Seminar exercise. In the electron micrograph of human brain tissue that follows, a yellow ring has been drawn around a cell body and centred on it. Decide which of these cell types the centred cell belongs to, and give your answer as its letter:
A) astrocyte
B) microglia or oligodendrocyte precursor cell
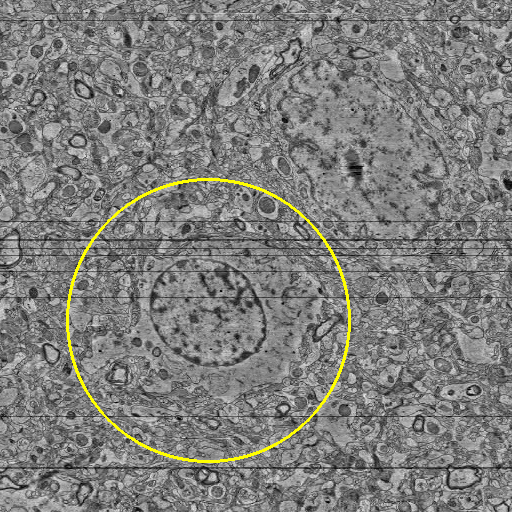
A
